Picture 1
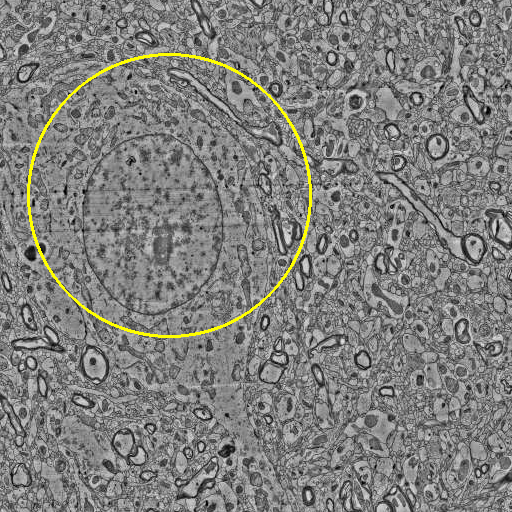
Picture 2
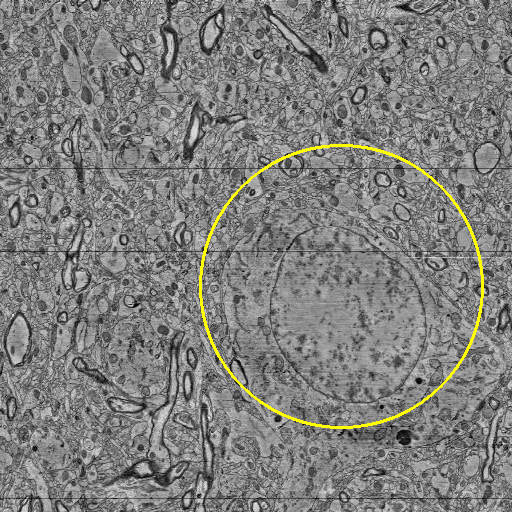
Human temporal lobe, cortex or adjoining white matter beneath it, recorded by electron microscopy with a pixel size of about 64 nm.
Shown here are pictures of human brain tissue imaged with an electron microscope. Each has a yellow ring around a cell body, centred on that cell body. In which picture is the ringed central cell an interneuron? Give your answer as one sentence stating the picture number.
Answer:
My answer is picture 1, where the ringed cell at the centre is the one sought.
